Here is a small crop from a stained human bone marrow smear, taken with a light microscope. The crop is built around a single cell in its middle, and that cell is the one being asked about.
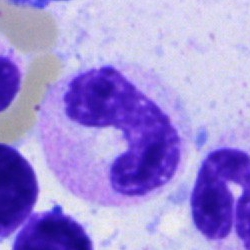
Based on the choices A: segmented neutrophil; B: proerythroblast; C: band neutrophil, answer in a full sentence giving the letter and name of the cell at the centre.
Option C stands as correct, the central cell being a band neutrophil.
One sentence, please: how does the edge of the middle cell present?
A smooth, projection-free outline is what this cell has.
